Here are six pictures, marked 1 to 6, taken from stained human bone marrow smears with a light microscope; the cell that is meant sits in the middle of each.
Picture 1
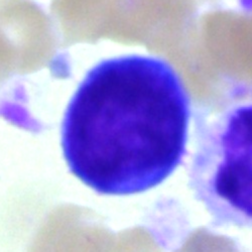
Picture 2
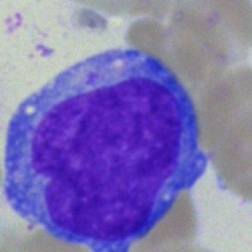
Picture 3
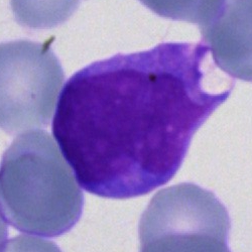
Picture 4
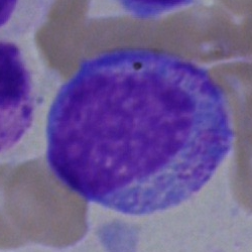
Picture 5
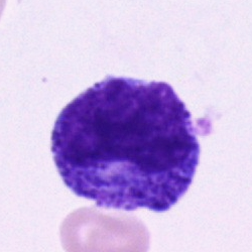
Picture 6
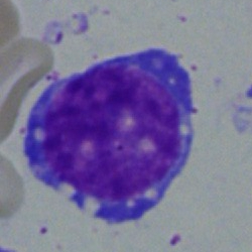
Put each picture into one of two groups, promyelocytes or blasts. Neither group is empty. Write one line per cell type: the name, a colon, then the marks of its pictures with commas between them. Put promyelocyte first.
promyelocyte: 4, 5
blast: 1, 2, 3, 6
